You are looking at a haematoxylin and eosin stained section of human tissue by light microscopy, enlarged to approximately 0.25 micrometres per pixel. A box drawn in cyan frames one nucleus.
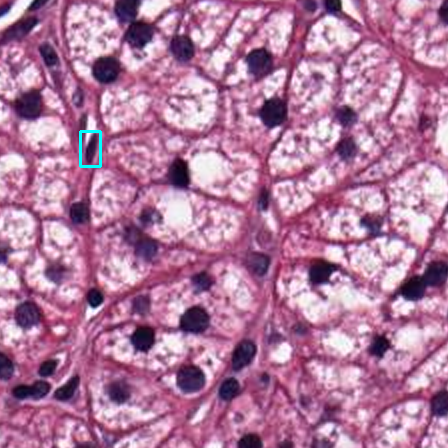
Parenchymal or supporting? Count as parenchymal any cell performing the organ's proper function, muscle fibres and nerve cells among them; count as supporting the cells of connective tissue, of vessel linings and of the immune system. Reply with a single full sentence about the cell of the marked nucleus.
It is to a supporting cell that the marked nucleus is assigned.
